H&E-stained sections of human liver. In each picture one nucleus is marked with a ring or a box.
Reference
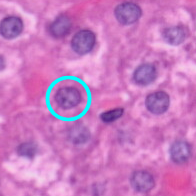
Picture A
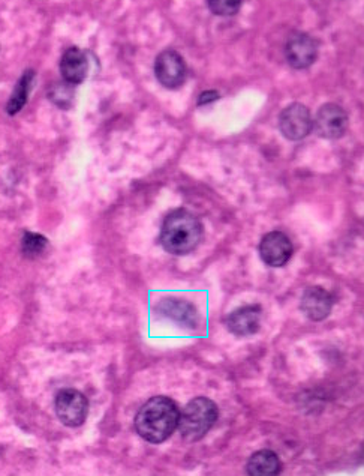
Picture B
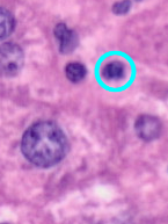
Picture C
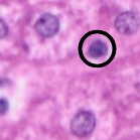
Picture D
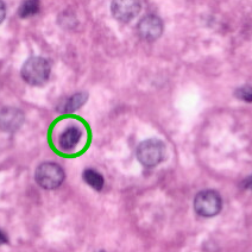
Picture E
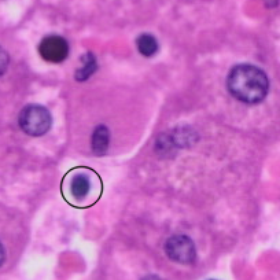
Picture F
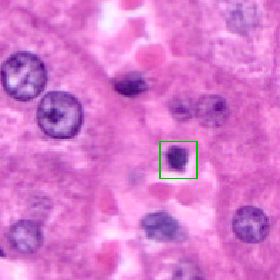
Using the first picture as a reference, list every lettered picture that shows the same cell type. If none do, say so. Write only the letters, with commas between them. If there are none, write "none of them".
none of them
